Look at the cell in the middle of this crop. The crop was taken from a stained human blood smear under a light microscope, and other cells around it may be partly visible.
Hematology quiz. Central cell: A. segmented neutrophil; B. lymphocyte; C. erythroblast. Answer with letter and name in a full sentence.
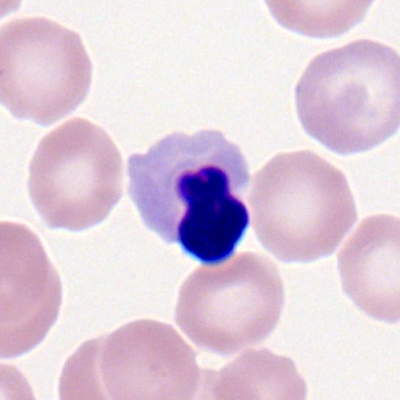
The cell in the middle is an erythroblast, and so option C is correct.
